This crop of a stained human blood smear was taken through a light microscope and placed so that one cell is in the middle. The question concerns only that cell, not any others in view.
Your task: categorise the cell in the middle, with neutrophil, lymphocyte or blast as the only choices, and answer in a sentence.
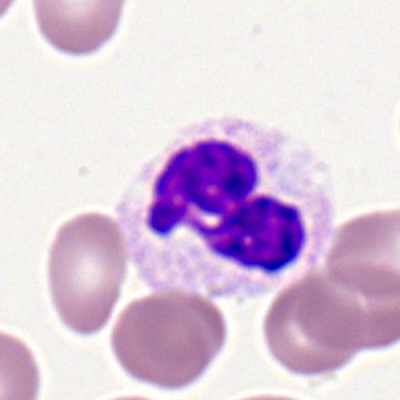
Here the cell in the middle is a neutrophil.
